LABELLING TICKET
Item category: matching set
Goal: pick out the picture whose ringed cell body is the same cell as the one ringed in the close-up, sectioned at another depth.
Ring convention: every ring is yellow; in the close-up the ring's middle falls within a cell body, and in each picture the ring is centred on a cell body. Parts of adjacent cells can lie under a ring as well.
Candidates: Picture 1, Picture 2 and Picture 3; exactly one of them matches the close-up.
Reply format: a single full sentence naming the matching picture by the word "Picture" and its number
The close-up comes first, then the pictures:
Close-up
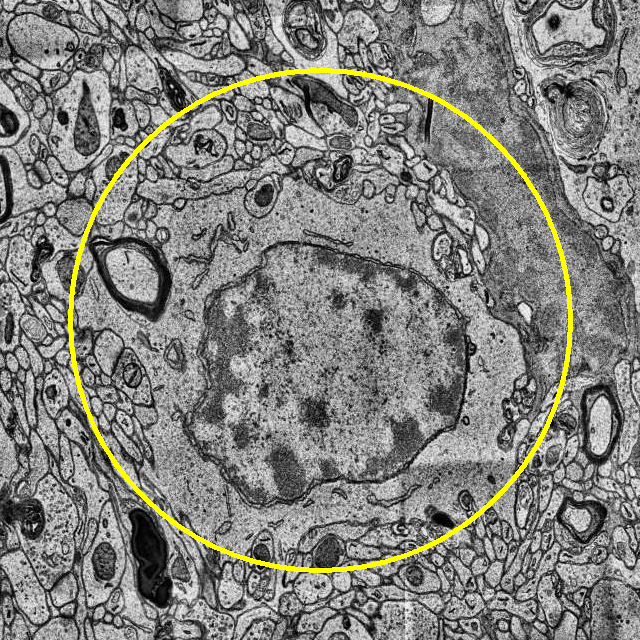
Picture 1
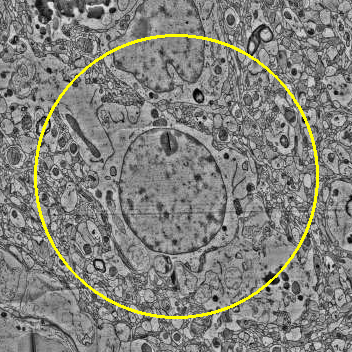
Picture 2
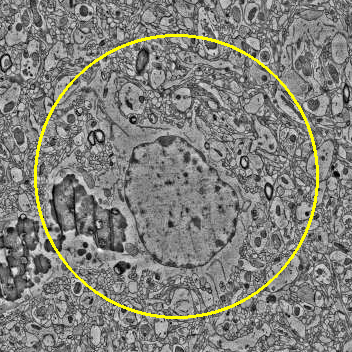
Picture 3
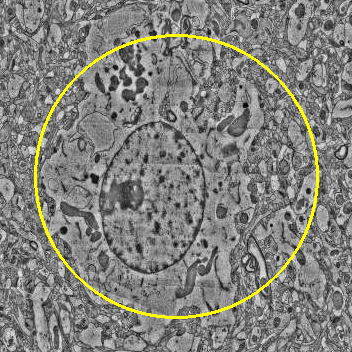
The yellow ring in Picture 2 marks the cell seen in the close-up.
